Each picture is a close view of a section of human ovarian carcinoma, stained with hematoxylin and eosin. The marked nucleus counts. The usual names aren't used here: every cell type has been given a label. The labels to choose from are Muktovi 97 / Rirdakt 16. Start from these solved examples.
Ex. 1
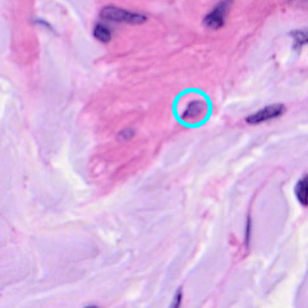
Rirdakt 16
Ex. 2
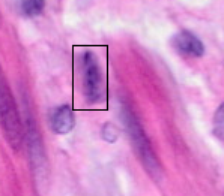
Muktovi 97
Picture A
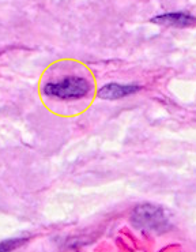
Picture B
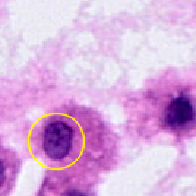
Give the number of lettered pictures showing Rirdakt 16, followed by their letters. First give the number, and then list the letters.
0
